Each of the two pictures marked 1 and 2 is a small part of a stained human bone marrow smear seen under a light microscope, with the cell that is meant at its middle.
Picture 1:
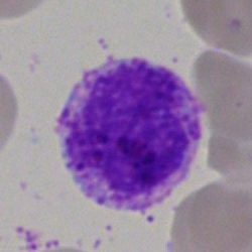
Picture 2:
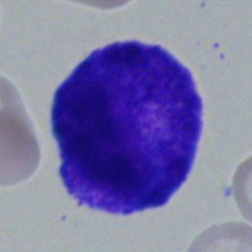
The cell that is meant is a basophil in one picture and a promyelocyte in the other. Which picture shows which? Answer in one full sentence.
The cell in picture 1 is a basophil, and the one in picture 2 is a promyelocyte.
